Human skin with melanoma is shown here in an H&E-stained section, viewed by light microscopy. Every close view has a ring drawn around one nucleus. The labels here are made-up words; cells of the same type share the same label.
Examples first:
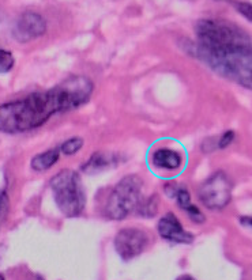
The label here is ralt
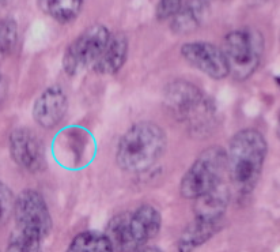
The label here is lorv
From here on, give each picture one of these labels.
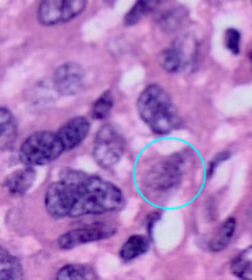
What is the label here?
lorv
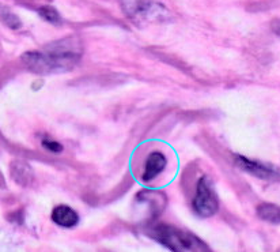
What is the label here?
ralt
